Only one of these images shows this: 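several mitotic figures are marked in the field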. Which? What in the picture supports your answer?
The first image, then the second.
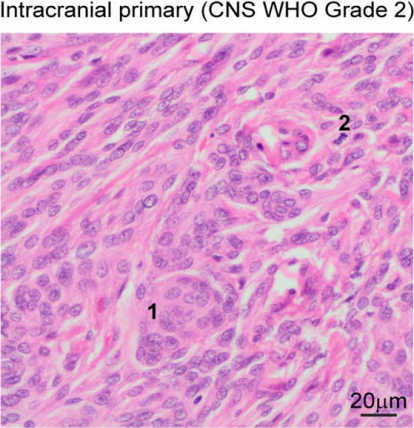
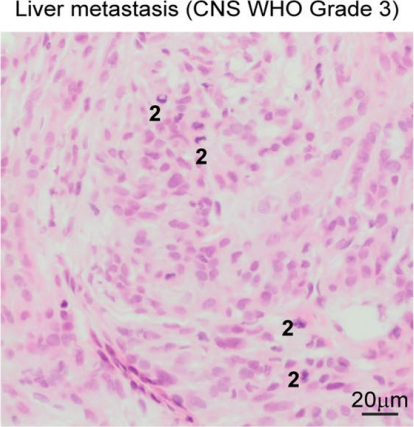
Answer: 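Second image: four separate dark mitotic figures are labelled across the field. First image: only one mitotic figure is labelled. That points to this answer: the second image.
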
